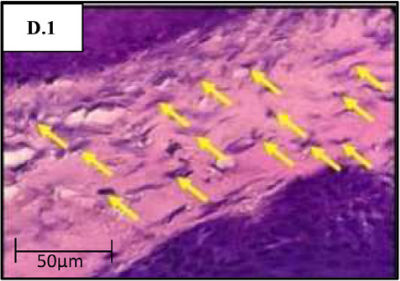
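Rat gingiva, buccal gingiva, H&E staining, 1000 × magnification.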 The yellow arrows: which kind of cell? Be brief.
fibroblast cells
